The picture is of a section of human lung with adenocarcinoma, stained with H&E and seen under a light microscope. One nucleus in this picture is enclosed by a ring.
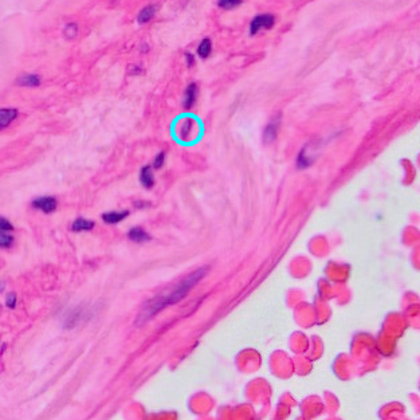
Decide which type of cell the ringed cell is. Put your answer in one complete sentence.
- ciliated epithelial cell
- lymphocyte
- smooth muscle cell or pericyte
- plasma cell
The ringed cell is a smooth muscle cell or pericyte.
